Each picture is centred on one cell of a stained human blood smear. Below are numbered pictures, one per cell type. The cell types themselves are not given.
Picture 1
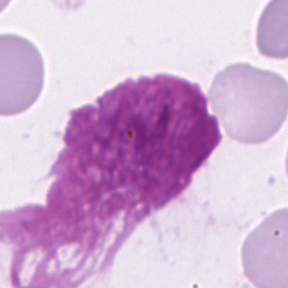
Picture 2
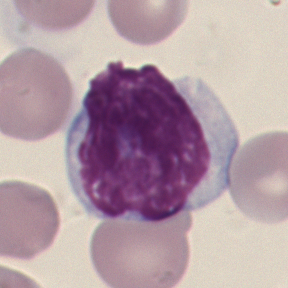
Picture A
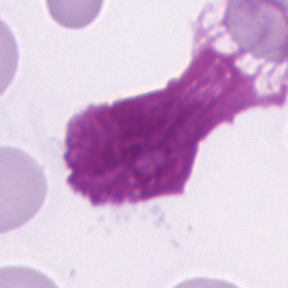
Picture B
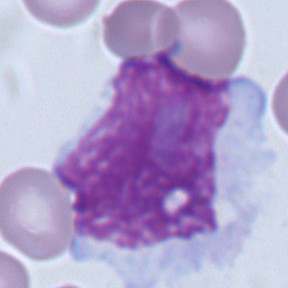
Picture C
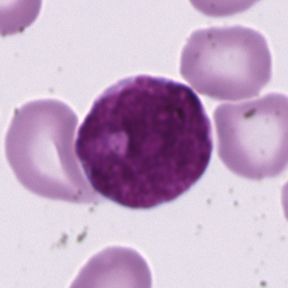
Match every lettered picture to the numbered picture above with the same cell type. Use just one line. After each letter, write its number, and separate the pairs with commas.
A 1, B 2, C 2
